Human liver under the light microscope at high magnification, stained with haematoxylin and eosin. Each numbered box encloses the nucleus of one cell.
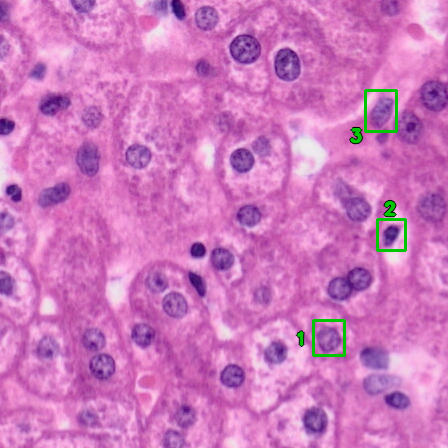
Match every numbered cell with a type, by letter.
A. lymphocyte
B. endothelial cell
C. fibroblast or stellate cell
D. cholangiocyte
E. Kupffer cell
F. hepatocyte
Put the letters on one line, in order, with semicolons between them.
F; A; E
